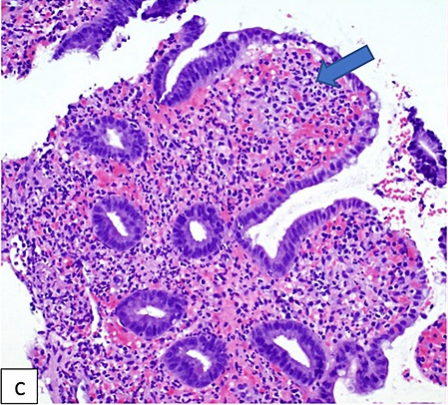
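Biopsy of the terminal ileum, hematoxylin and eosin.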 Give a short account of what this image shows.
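This is small-bowel mucosa with a short, broad villus lined by tall columnar epithelium, and several crypts cut across below it as round glands with dark, crowded nuclei around a clear lumen. The stroma between the crypts and inside the villus is packed with inflammatory cells, far more than normal. Scattered red blood cells colour the stroma pink-red.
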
